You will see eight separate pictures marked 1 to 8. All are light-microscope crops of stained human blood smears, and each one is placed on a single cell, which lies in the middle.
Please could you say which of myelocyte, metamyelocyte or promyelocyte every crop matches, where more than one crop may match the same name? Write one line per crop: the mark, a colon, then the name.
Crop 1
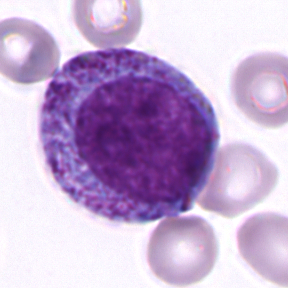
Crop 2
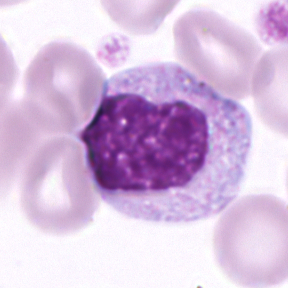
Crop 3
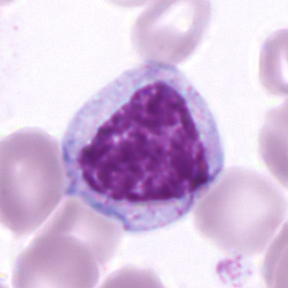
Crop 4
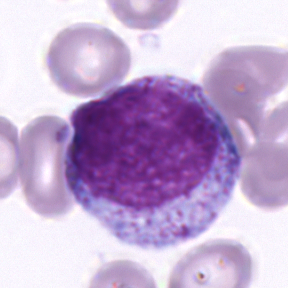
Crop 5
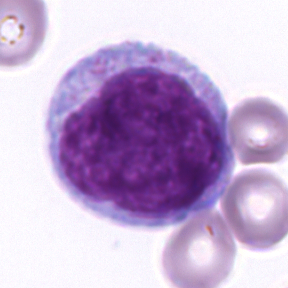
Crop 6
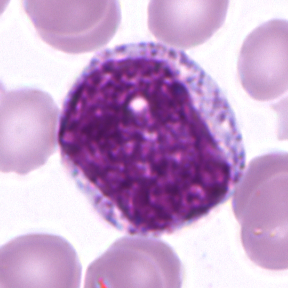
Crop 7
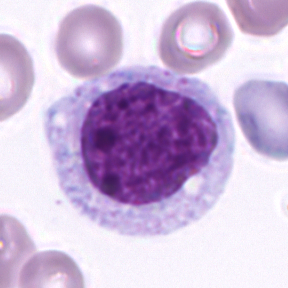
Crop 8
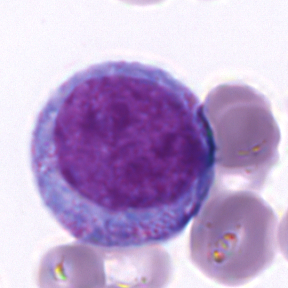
1: promyelocyte
2: myelocyte
3: myelocyte
4: promyelocyte
5: promyelocyte
6: myelocyte
7: myelocyte
8: promyelocyte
